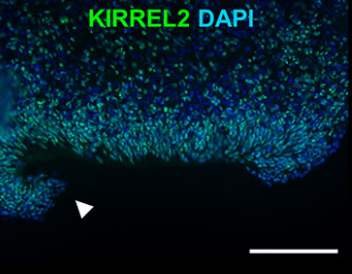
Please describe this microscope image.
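Along the lower border lies a dense layer of elongated, closely packed nuclei oriented perpendicular to the surface, strongly green. Above this band the tissue contains more loosely scattered round nuclei, many also green. At the lower left the band ends in a small curled lobe of tissue that protrudes from the edge.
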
